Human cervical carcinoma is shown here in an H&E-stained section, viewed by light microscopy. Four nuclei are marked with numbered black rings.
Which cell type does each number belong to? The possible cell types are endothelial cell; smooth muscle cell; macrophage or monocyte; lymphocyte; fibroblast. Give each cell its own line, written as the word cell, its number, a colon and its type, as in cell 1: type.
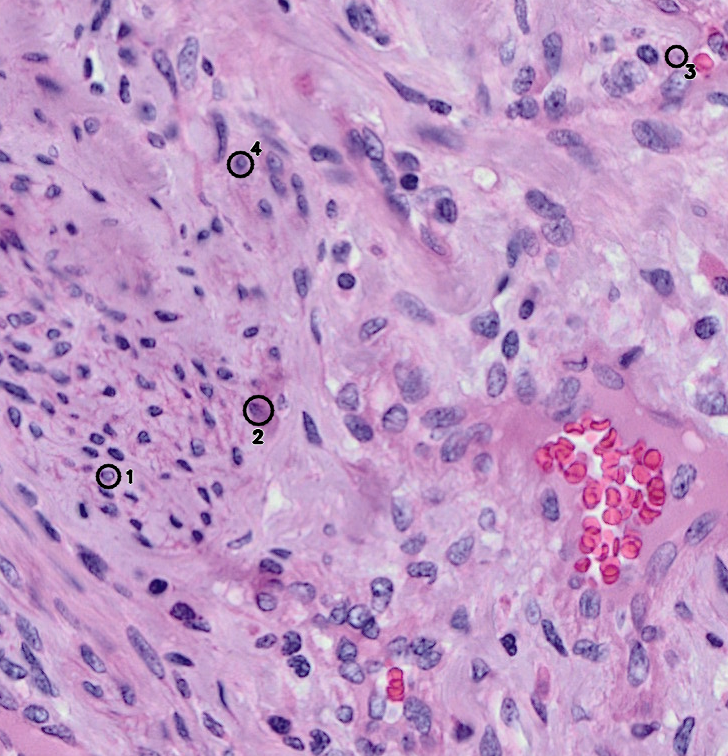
cell 1: smooth muscle cell
cell 2: smooth muscle cell
cell 3: endothelial cell
cell 4: smooth muscle cell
